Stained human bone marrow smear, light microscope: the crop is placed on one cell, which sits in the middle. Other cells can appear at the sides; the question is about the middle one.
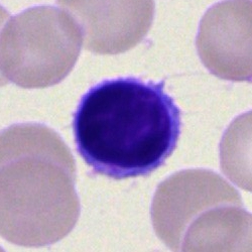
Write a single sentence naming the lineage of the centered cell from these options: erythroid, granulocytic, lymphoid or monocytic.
The cell at the center is a representative of the lymphoid lineage.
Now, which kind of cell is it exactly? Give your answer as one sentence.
By classification, the middle cell of this crop is a lymphocyte.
